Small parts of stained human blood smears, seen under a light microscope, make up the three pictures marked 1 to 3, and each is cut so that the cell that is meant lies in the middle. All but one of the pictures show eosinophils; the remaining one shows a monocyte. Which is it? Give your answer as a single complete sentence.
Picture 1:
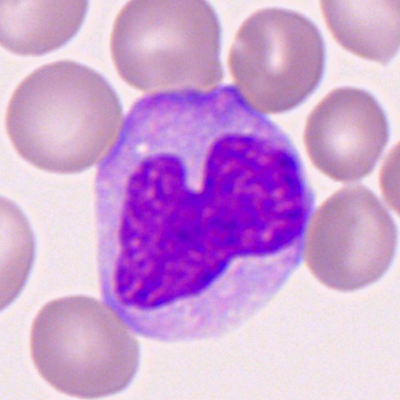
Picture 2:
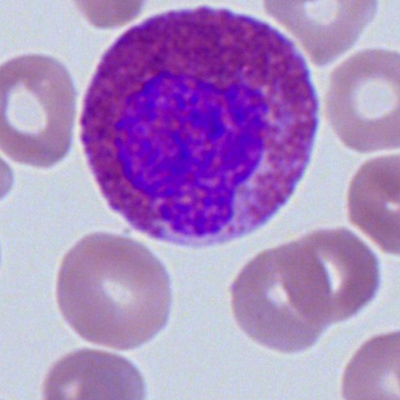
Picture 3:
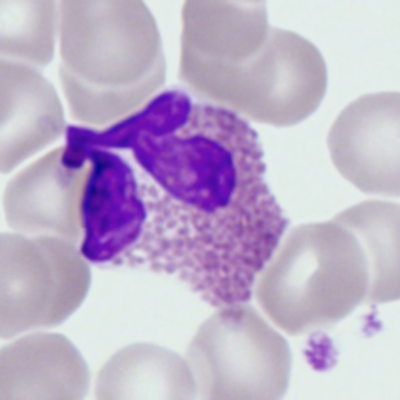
It is picture 1 that shows the monocyte.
